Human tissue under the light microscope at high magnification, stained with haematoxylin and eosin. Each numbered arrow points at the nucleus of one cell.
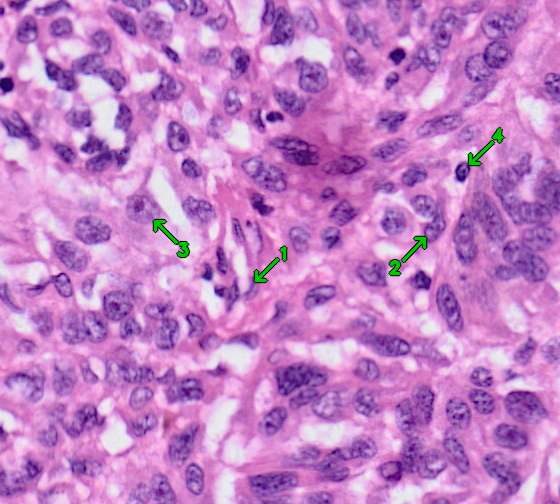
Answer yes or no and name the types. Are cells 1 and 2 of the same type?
No, cell 1 is typed as an endothelial cell, and cell 2 is typed as a melanoma cell.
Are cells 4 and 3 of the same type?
No, cell 4 is a lymphocyte, and cell 3 is a melanoma cell.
